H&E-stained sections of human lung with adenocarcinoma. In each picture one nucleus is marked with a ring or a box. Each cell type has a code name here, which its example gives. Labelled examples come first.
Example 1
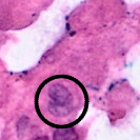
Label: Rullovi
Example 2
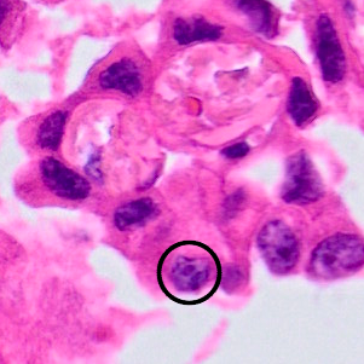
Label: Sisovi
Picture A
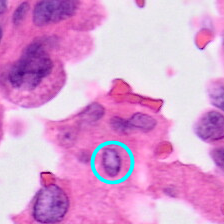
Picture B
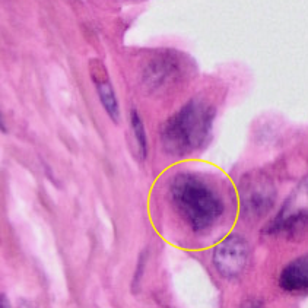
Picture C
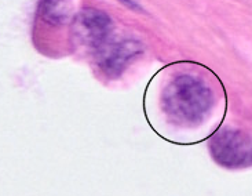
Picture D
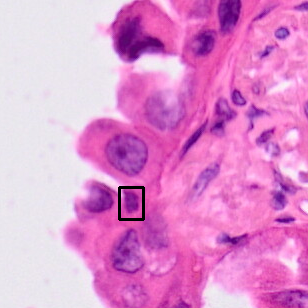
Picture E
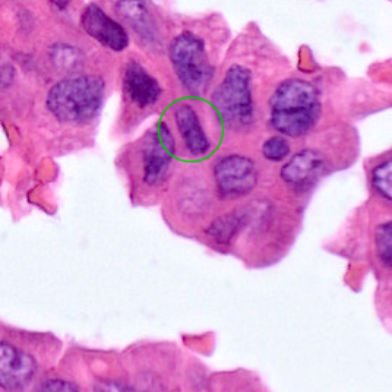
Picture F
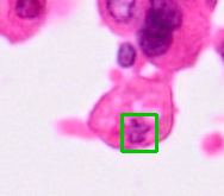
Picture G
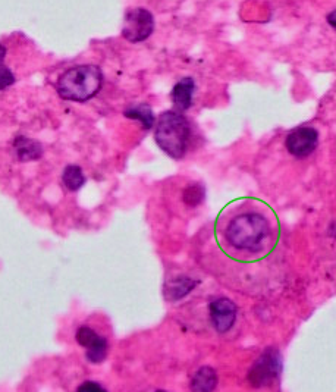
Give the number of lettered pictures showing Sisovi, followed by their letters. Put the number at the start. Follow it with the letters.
4: B, C, D, E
